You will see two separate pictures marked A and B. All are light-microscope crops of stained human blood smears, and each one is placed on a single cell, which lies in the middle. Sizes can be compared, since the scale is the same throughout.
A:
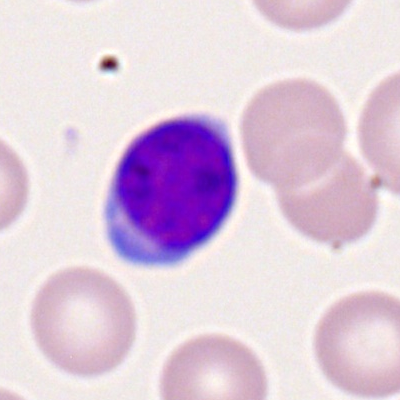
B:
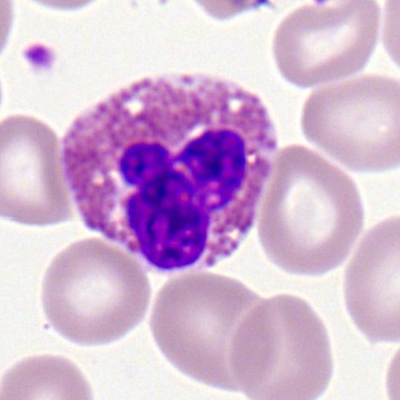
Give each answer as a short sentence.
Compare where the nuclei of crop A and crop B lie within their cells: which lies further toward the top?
In crop A the nucleus is shifted more toward the top.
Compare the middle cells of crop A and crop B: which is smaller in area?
Smaller is the cell in crop A, and the other is about 2 times as large in area.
